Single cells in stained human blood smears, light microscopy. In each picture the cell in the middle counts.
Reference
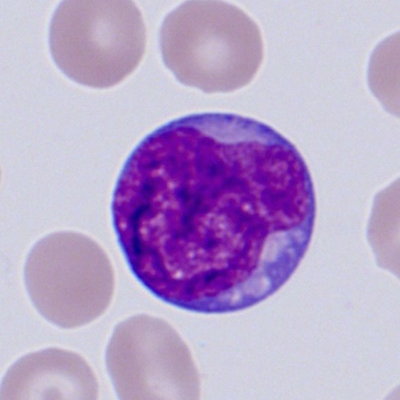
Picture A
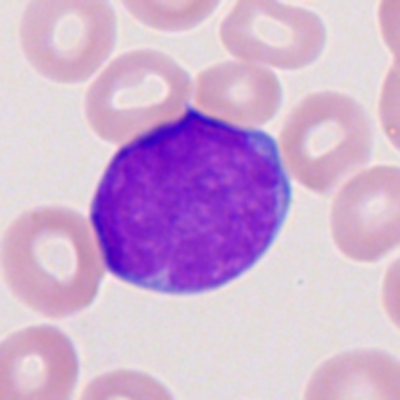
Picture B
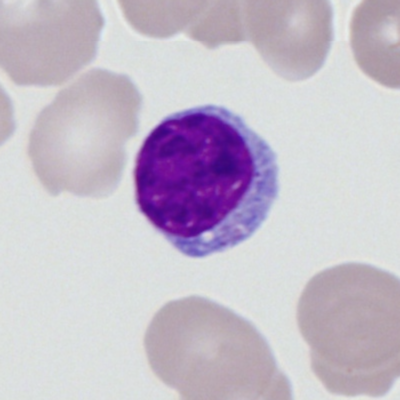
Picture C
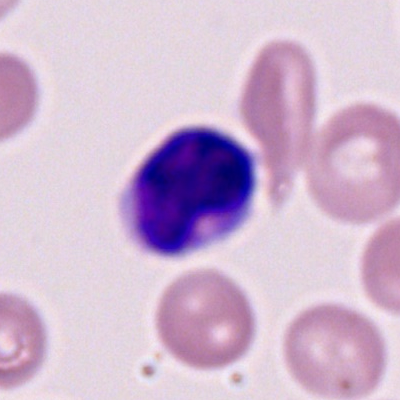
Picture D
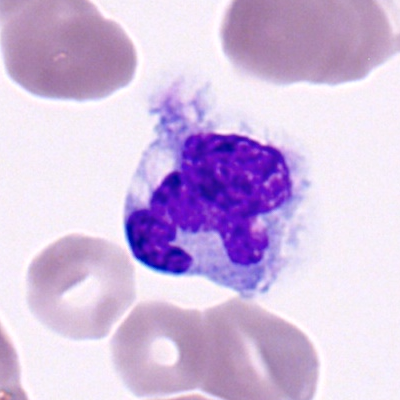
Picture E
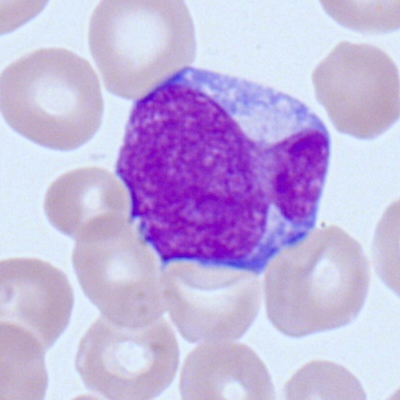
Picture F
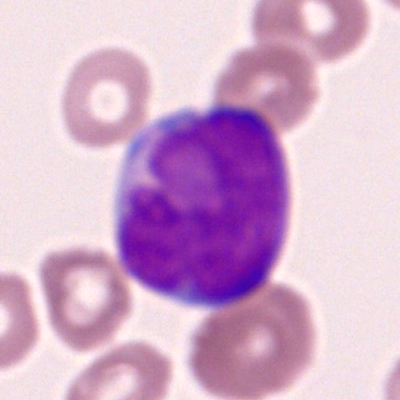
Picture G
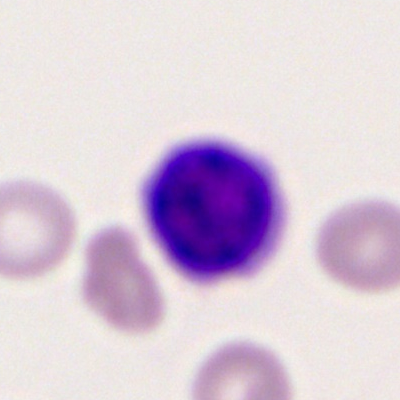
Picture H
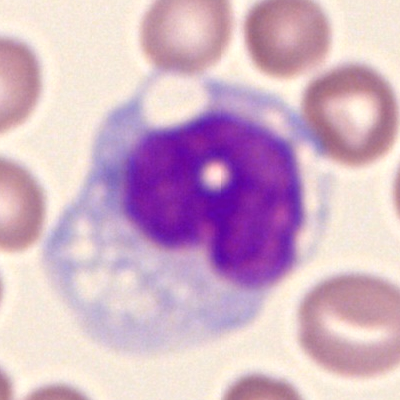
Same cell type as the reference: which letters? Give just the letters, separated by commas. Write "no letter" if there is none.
A, E, F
